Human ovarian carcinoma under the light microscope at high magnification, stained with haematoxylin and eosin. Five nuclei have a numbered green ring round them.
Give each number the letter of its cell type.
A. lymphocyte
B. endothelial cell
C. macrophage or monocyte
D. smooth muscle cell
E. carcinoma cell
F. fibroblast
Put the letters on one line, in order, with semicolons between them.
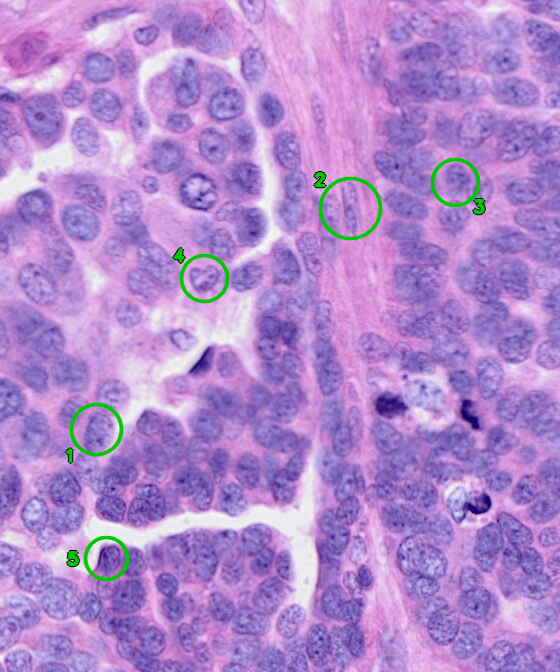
E; F; E; C; E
